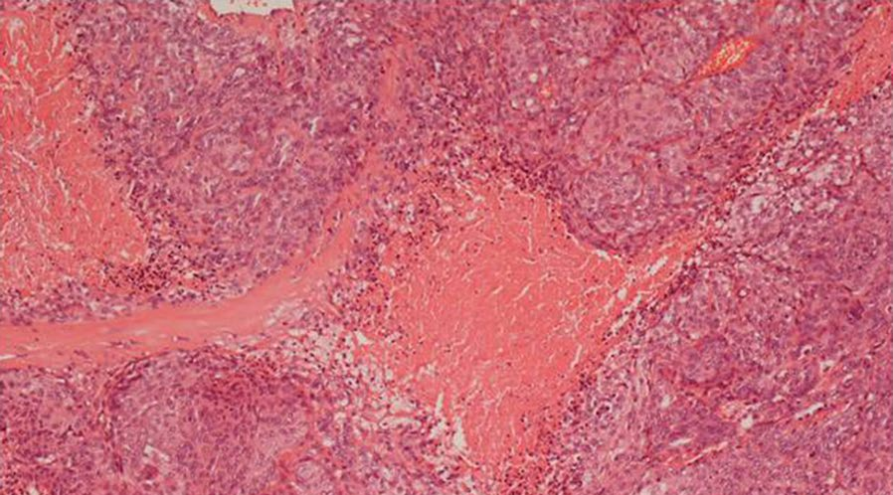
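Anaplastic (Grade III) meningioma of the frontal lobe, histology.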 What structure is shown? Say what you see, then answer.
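Sheets of tumour cells are divided into rounded lobules by thin pink fibrous septa. The answer: lobules of meningotheliomatous tumour.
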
